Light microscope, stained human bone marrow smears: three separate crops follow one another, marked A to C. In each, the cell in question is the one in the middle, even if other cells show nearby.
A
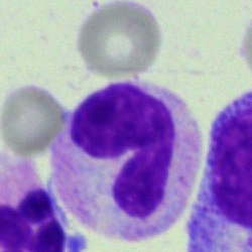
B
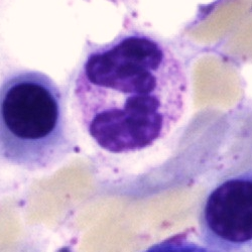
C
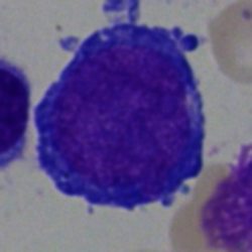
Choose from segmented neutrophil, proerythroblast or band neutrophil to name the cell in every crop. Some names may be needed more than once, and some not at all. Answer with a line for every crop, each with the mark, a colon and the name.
A: band neutrophil
B: segmented neutrophil
C: proerythroblast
